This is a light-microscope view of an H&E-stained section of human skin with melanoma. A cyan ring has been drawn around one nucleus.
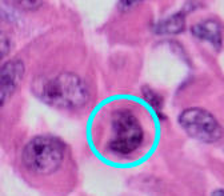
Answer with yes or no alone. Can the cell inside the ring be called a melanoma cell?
yes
